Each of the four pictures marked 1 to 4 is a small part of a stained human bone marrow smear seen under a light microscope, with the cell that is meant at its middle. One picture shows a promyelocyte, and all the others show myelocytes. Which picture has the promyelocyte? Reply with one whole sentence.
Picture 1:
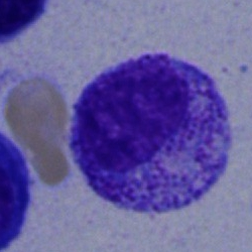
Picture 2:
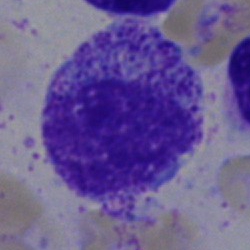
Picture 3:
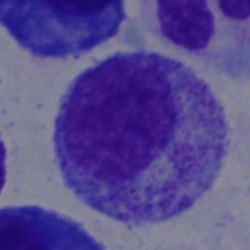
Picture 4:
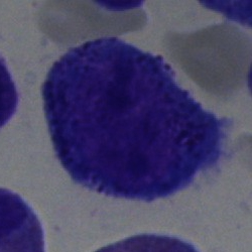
The cell in picture 4 is the promyelocyte.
